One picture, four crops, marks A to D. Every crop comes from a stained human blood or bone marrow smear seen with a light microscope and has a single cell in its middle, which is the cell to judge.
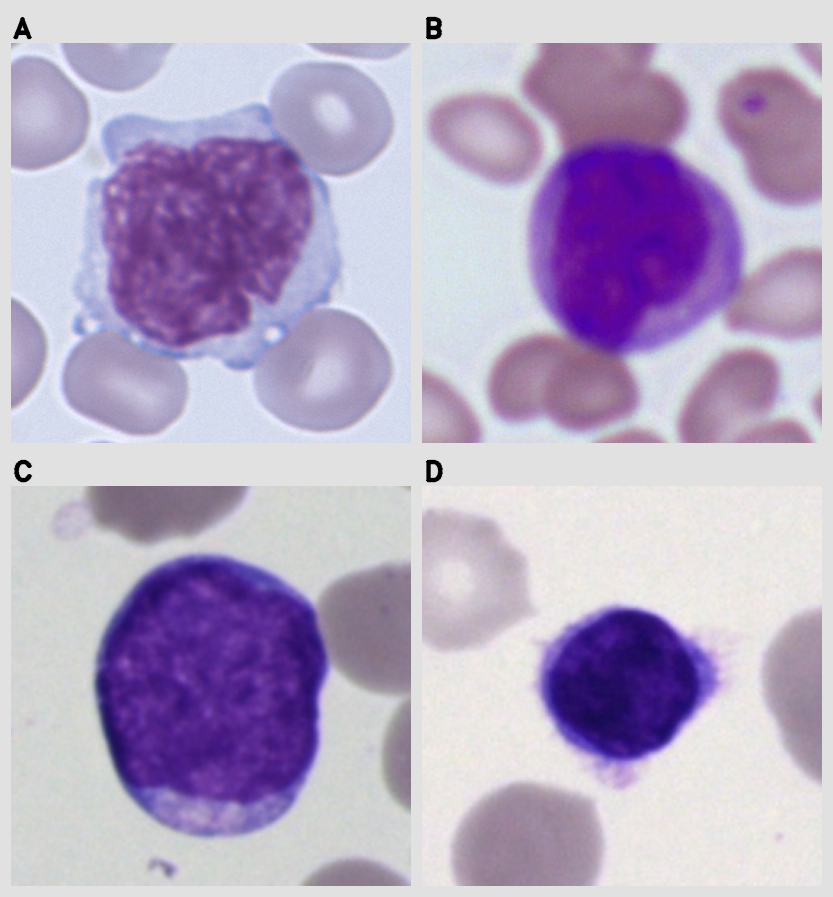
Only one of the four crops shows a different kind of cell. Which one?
D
